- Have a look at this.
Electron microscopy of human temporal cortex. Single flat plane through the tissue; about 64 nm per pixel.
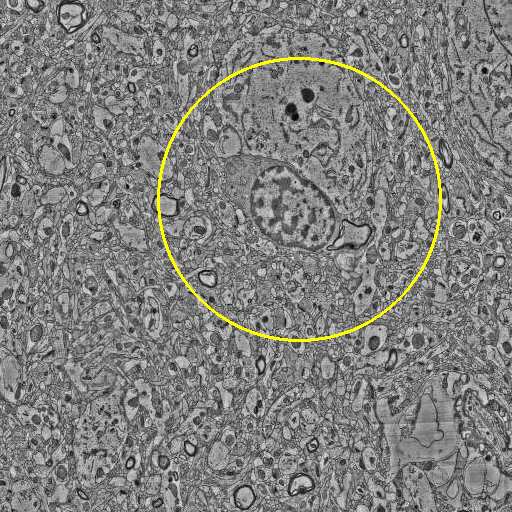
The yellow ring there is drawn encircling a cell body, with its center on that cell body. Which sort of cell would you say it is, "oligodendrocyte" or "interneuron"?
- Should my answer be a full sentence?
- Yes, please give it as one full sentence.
For this picture, an oligodendrocyte is the cell where the yellow ring has its center.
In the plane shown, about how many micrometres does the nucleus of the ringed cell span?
In this plane, the nucleus of the cell at the centre of the ring measures about 6 by 5 micrometres.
